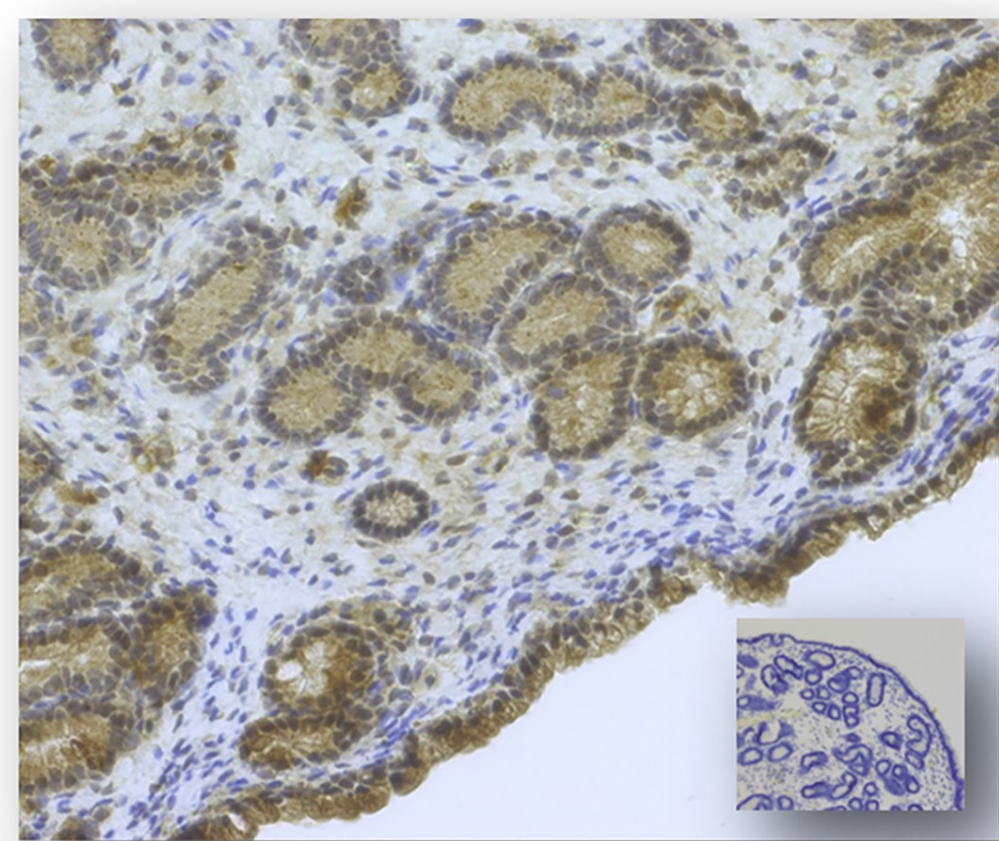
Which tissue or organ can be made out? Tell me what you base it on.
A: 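Numerous round and elongated tubular gland profiles lined by columnar epithelium lie in a loose cellular stroma. A continuous single layer of epithelium lines a free surface at the lower right. The stroma holds many spindle-shaped and oval nuclei. That points to this answer: endometrium.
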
